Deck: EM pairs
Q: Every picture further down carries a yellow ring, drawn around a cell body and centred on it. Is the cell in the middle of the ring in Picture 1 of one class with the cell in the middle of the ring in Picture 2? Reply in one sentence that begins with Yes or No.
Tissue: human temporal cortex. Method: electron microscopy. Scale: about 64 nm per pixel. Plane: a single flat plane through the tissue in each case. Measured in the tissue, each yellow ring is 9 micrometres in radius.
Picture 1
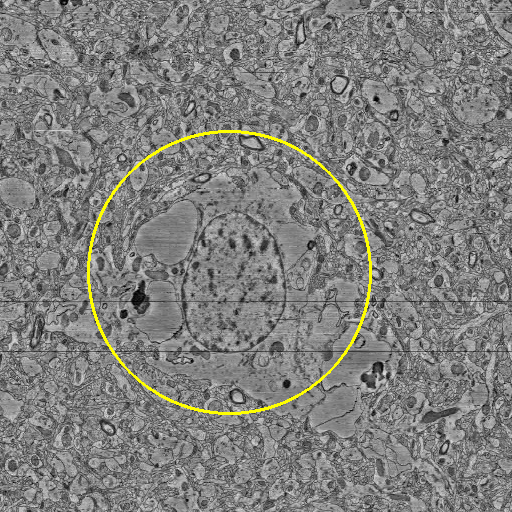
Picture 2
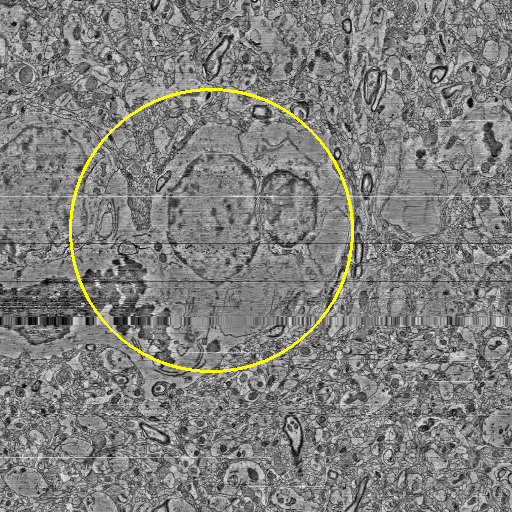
Yes, the cell centred in the ring of Picture 1 and the one in Picture 2 belong to one class.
